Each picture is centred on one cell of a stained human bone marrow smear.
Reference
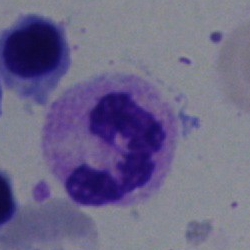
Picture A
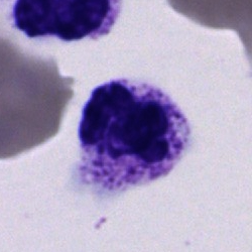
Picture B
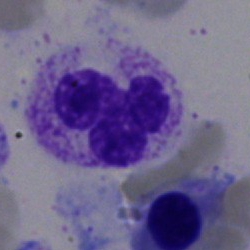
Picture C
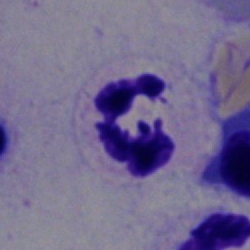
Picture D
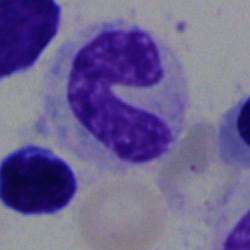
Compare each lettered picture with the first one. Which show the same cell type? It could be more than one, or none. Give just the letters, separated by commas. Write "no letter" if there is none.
A, B, C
